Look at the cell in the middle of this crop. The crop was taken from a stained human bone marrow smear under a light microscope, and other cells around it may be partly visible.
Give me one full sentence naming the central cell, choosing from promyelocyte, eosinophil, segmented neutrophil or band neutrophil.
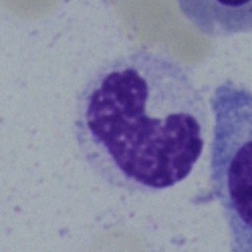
The central cell, amid any neighbouring cells, is a band neutrophil.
